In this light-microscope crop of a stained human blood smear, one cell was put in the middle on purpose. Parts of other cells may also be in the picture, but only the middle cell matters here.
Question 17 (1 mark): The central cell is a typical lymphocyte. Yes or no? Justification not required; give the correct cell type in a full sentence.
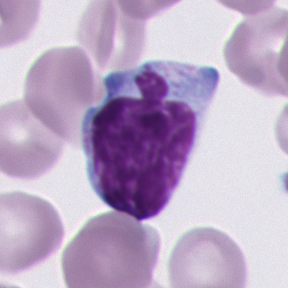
Yes, the cell found in the center of the crop is a typical lymphocyte.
